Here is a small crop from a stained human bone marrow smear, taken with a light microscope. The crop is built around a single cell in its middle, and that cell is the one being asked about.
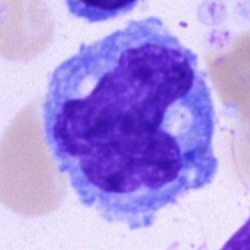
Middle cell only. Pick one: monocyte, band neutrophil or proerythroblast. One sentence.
The cell the crop is centered on is a monocyte.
